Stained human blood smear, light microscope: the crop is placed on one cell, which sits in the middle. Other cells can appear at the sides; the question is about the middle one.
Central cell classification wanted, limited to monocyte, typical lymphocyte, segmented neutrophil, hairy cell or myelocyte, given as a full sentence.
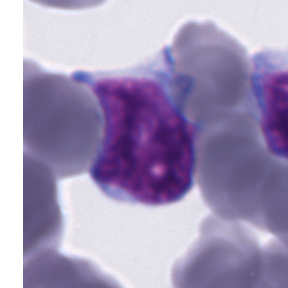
By classification, the middle cell of this crop is a typical lymphocyte.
